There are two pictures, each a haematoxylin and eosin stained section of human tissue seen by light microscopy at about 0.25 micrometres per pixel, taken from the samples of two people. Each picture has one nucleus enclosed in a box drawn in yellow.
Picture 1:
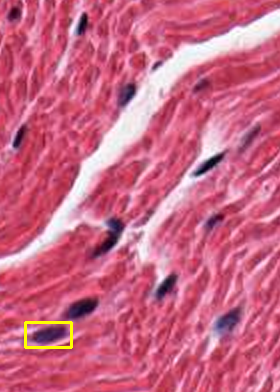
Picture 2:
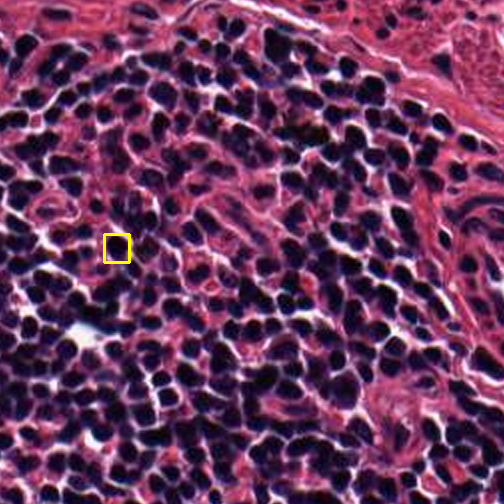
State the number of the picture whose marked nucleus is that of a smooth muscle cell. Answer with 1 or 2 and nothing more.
1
